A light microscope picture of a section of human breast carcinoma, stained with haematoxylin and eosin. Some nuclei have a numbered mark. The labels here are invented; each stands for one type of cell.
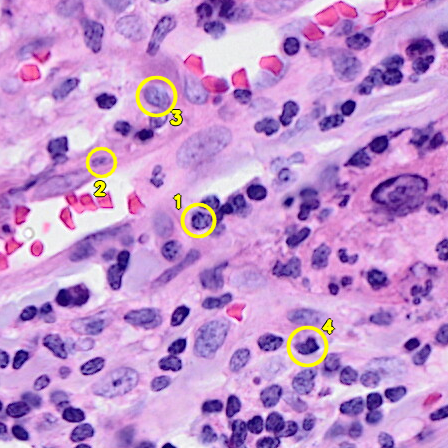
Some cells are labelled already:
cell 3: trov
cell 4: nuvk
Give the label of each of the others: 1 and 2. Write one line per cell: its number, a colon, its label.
1: nuvk
2: trov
